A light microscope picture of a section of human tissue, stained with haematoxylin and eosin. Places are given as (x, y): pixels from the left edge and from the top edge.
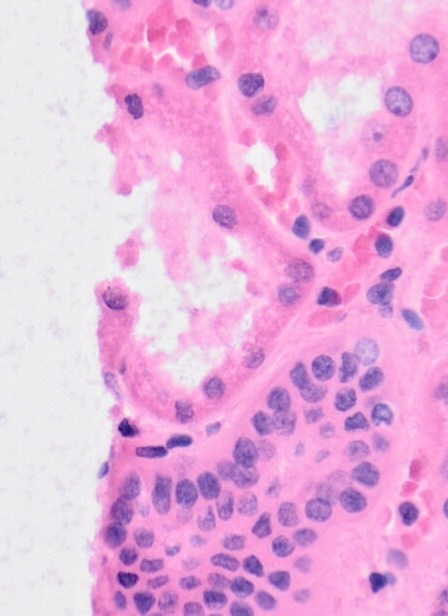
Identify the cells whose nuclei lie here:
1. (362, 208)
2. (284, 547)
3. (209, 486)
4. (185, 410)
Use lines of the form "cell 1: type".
cell 1: proximal tubule cell
cell 2: collecting duct cell
cell 3: collecting duct cell
cell 4: proximal tubule cell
